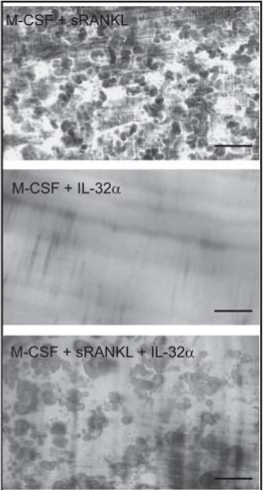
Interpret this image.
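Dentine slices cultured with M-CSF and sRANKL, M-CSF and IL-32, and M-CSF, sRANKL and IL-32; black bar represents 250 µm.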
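Three views of a flat, pale grey hard-tissue surface are stacked one above the other. In the top view the surface is crowded with dark, rounded and irregular pits, many touching or merging into larger patches.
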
